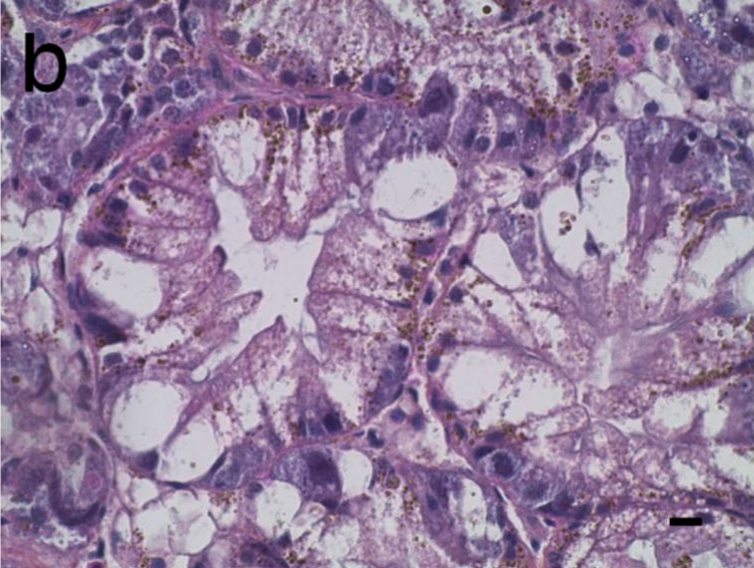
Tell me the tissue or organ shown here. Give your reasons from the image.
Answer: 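Tubules lined by tall epithelial cells surround central lumina. Thin connective tissue septa separate the tubules. Many cells hold large clear vacuoles and fine brown granules.
Hence: midgut gland.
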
